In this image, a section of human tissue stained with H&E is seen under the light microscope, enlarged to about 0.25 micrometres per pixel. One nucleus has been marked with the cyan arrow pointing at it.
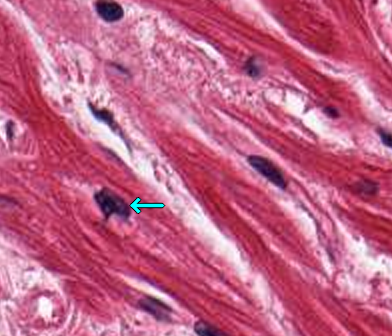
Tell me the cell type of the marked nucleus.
cardiomyocyte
